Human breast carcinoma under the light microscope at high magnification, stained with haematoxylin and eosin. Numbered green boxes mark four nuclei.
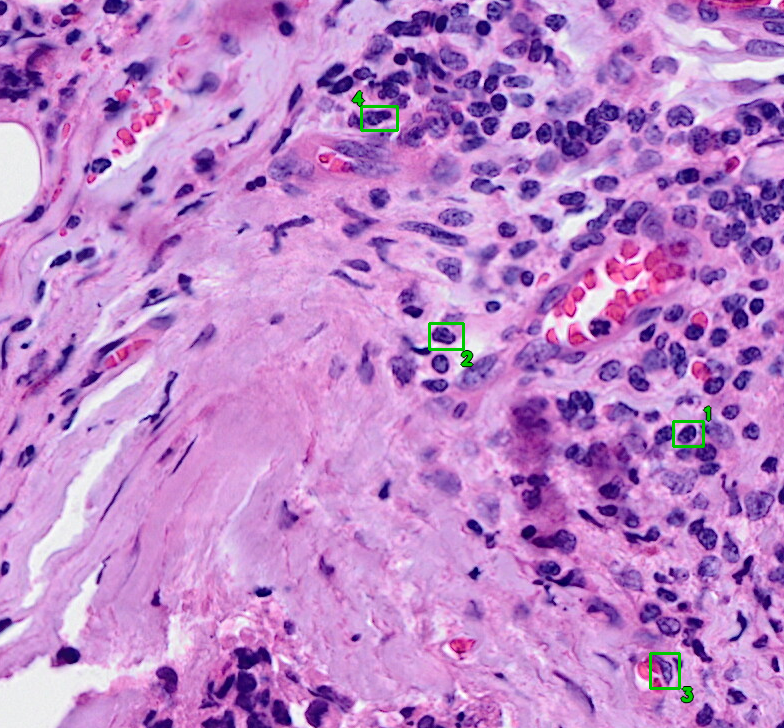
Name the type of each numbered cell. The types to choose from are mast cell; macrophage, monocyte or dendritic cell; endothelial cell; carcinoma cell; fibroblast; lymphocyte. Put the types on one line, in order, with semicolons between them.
lymphocyte; lymphocyte; endothelial cell; lymphocyte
